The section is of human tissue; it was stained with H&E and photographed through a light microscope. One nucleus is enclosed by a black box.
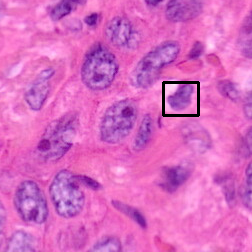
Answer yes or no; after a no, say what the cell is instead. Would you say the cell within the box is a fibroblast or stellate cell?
No, it is a lymphocyte.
